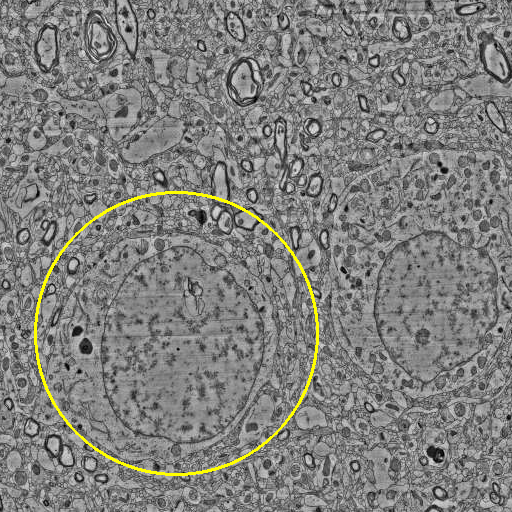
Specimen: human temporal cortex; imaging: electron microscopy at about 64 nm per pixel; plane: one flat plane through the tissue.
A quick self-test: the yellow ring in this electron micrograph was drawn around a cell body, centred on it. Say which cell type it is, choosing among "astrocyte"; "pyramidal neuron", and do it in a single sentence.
The yellow-ringed cell is a pyramidal neuron.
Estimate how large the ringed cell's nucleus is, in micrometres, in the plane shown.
About 13 by 11 micrometers, in this plane.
